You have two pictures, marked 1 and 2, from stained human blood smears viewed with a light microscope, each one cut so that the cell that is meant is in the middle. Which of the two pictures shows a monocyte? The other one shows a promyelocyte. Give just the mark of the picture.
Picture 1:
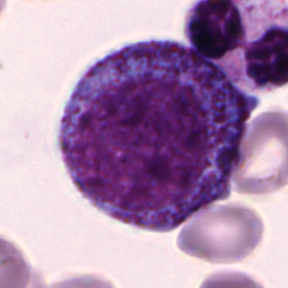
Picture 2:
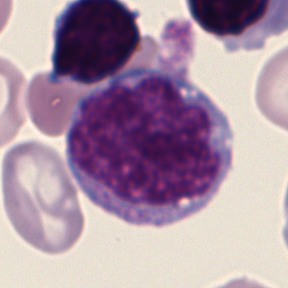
2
